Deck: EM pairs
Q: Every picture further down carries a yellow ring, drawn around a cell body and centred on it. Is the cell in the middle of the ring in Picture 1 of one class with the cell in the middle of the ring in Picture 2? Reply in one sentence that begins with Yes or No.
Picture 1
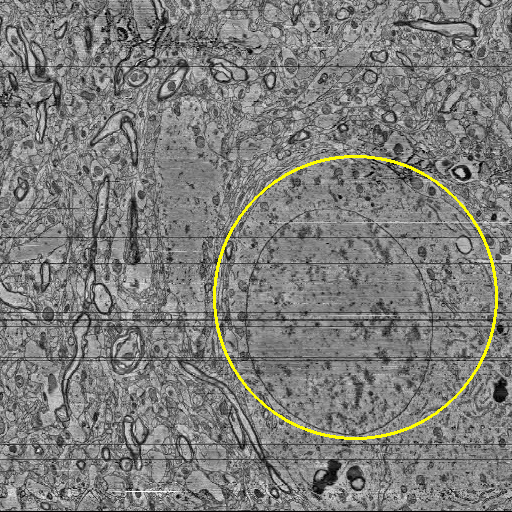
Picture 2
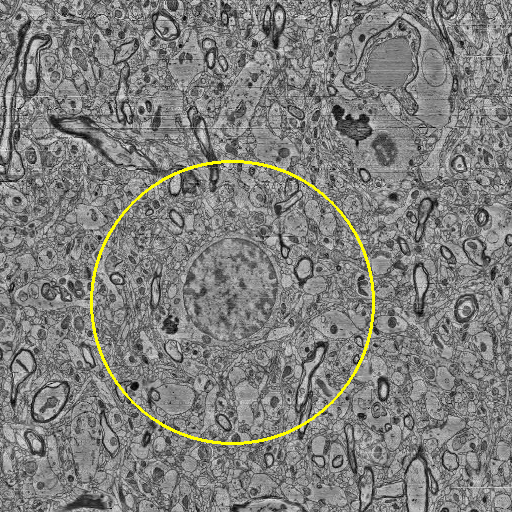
No, the cell centred in the ring of Picture 1 and the one in Picture 2 belong to separate classes.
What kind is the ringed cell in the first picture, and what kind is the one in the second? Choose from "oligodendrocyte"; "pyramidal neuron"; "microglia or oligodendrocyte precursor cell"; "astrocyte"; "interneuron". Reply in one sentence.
The first cell is a pyramidal neuron; the second is an oligodendrocyte.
